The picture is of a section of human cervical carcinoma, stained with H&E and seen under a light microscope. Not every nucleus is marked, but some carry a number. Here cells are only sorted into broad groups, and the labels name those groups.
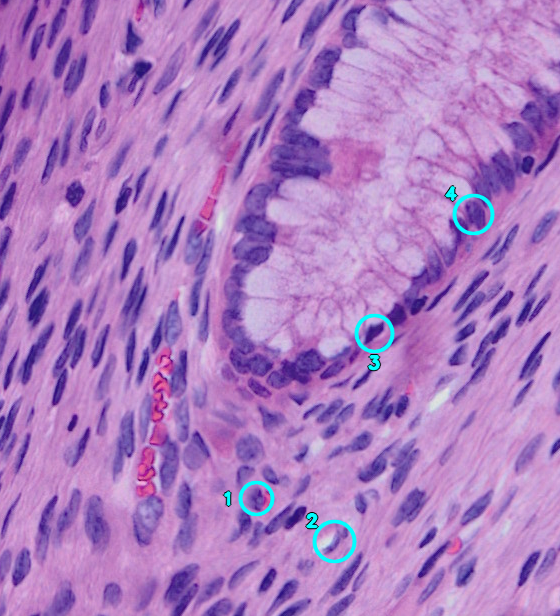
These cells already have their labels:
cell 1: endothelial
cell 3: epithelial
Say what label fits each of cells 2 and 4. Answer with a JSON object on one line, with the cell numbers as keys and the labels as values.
{"2": "endothelial", "4": "epithelial"}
